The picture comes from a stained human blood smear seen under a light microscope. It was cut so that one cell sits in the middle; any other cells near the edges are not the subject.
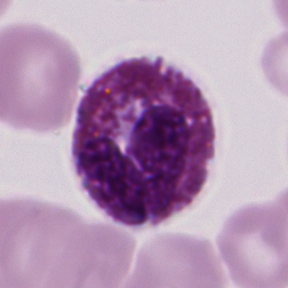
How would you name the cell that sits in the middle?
eosinophil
